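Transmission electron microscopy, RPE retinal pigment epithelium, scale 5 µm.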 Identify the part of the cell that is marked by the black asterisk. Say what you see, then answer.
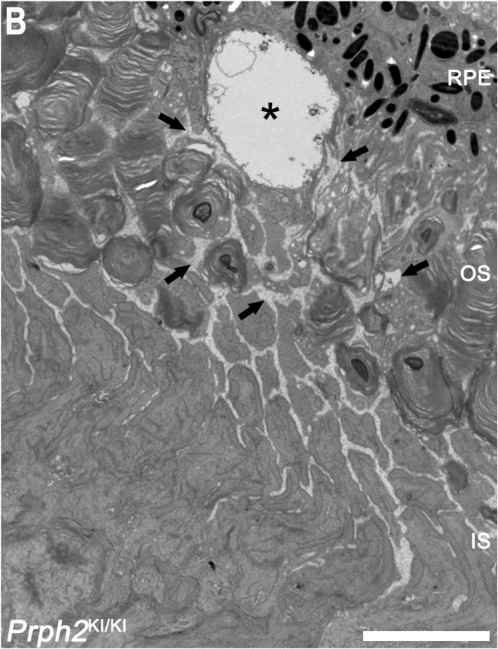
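A large, round, electron-lucent space sits within the pigmented epithelial layer at the top. It is bounded by a membrane and contains only sparse wispy material. That points to this answer: intracellular vacuole.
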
